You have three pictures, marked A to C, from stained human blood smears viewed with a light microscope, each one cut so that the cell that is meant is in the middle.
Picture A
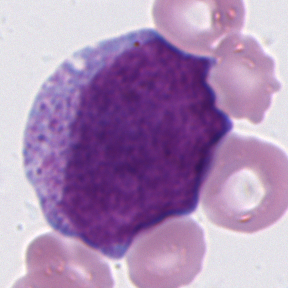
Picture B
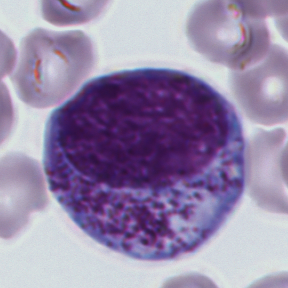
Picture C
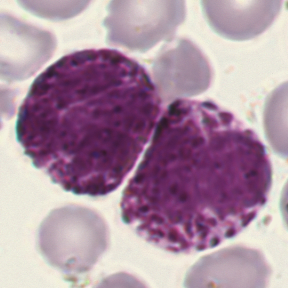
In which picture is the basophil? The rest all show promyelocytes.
C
